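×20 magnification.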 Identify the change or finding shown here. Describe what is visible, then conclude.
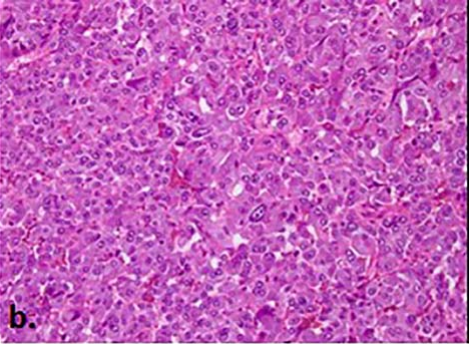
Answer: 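Polygonal tumour cells grouped in small clusters. Clusters separated by thin delicate septa containing red blood cells. On this evidence: zellballen patterns/nests.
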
